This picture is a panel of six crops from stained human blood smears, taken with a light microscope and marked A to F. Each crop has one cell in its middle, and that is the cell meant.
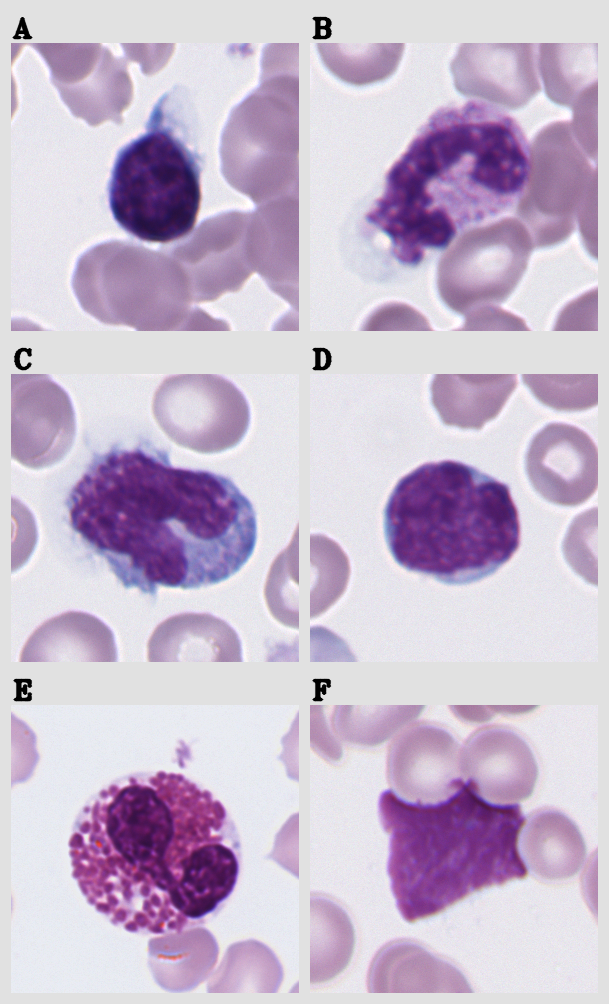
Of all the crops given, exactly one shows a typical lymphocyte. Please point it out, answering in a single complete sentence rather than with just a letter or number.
The crop marked A is the one in which a typical lymphocyte is shown.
